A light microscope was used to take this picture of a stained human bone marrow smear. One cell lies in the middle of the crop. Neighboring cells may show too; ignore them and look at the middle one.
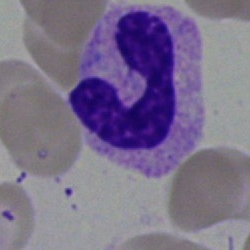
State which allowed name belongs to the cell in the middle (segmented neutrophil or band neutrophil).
band neutrophil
